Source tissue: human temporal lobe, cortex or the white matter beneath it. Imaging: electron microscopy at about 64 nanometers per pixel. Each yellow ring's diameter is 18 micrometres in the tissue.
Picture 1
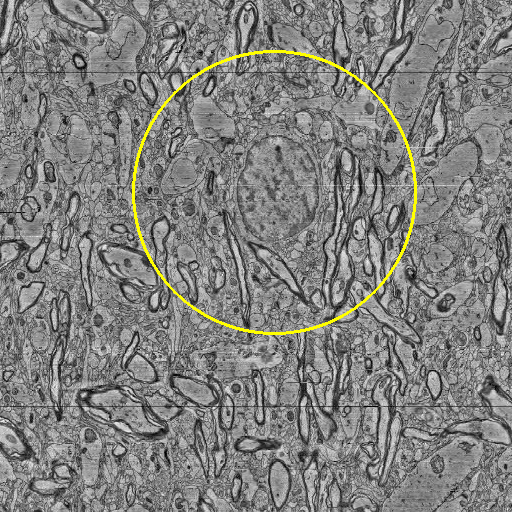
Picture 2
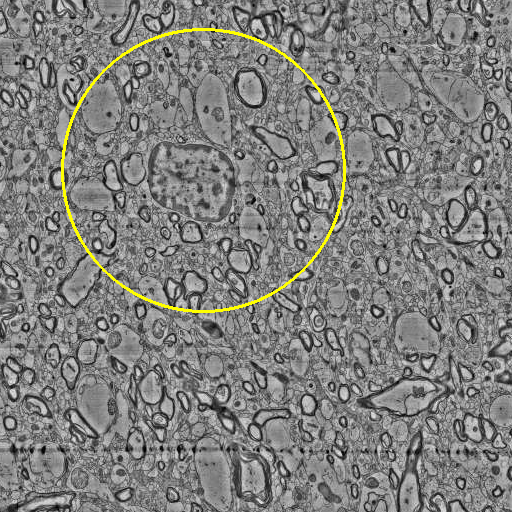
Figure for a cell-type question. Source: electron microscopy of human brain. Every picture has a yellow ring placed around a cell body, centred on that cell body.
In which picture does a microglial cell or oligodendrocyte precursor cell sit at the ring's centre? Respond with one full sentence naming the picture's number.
The cell in the middle of the ring in picture 2 is the one sought.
